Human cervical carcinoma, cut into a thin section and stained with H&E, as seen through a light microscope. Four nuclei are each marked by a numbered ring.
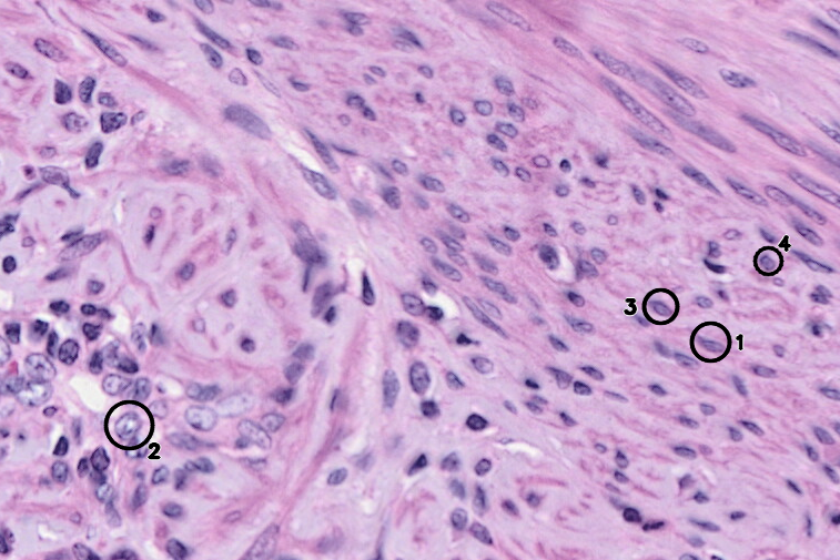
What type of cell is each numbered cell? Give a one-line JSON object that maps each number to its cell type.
{"1": "smooth muscle cell", "2": "endothelial cell", "3": "smooth muscle cell", "4": "smooth muscle cell"}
